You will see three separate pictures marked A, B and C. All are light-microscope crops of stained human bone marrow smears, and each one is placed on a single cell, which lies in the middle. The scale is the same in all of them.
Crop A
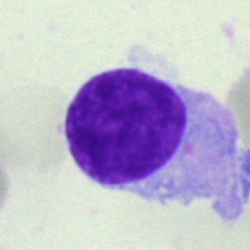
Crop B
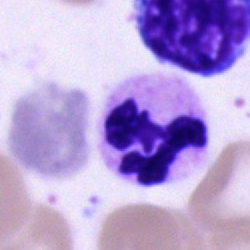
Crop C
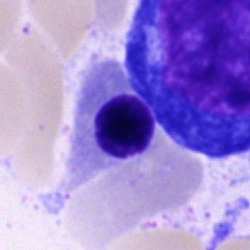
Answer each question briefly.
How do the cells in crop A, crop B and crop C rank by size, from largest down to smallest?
A, B, C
